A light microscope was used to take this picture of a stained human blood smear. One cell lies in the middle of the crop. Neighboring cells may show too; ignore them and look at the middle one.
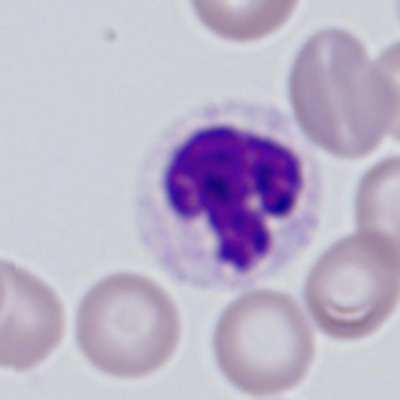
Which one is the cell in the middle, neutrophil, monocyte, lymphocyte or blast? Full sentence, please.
The crop's centre is taken up by a neutrophil.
